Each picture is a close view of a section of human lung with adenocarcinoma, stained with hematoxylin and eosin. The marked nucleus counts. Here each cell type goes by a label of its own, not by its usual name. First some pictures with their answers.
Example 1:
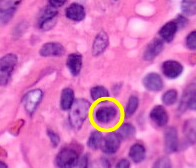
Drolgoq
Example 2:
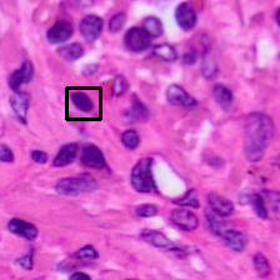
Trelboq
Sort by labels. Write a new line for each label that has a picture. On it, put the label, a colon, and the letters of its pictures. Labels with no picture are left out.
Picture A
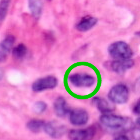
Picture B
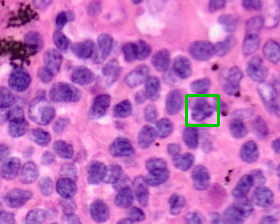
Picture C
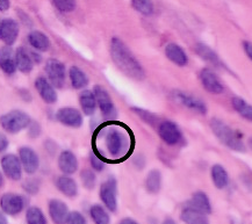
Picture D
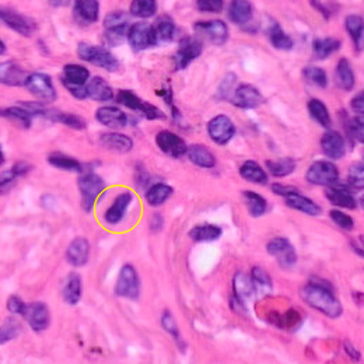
Drolgoq: A, B, C, D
